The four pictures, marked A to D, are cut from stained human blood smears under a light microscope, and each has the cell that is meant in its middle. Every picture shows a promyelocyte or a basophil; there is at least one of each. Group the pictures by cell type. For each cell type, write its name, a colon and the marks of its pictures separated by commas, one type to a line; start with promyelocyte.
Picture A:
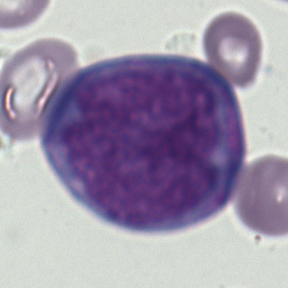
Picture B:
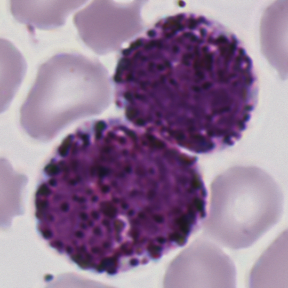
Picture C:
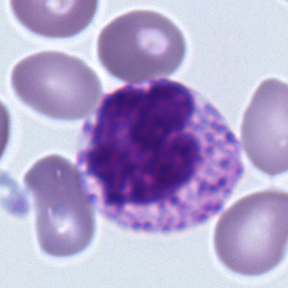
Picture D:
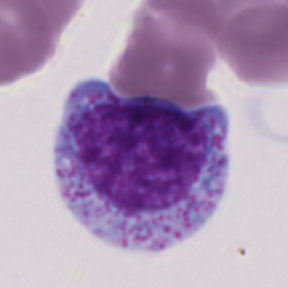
promyelocyte: A, D
basophil: B, C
